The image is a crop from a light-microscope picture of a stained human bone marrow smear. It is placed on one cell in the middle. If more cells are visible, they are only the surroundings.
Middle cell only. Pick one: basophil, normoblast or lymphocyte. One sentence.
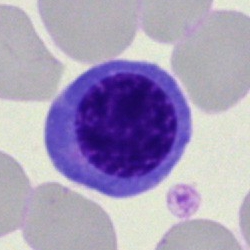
As for the cell in the middle, it is a normoblast.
